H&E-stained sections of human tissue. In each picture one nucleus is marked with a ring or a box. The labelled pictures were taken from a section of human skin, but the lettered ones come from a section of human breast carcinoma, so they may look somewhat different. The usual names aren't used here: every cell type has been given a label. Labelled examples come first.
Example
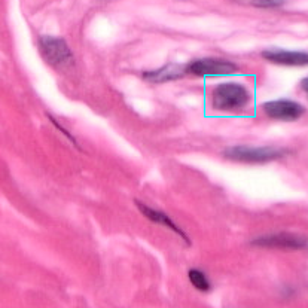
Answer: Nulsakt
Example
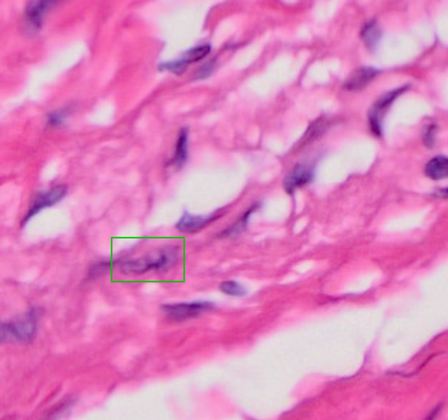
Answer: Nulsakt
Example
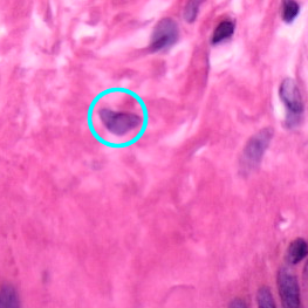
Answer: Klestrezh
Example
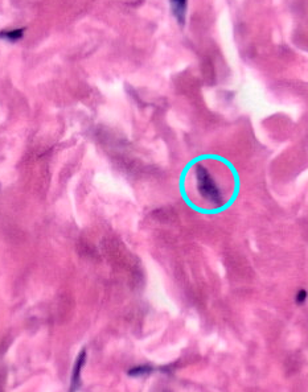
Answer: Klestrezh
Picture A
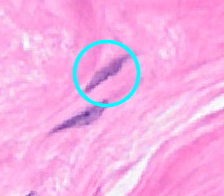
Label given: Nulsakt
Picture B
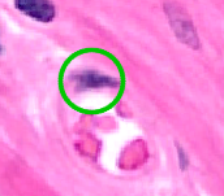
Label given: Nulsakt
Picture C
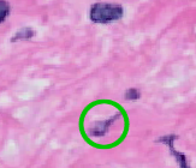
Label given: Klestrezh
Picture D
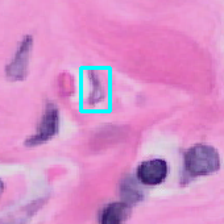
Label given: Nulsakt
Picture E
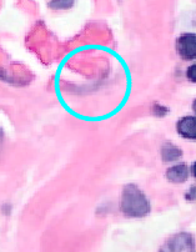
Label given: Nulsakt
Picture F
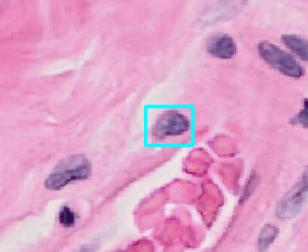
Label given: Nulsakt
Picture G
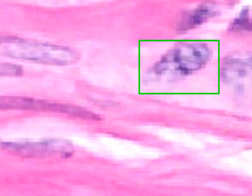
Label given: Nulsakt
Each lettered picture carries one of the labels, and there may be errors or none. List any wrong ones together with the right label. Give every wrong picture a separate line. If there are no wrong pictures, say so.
A: change Nulsakt to Klestrezh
